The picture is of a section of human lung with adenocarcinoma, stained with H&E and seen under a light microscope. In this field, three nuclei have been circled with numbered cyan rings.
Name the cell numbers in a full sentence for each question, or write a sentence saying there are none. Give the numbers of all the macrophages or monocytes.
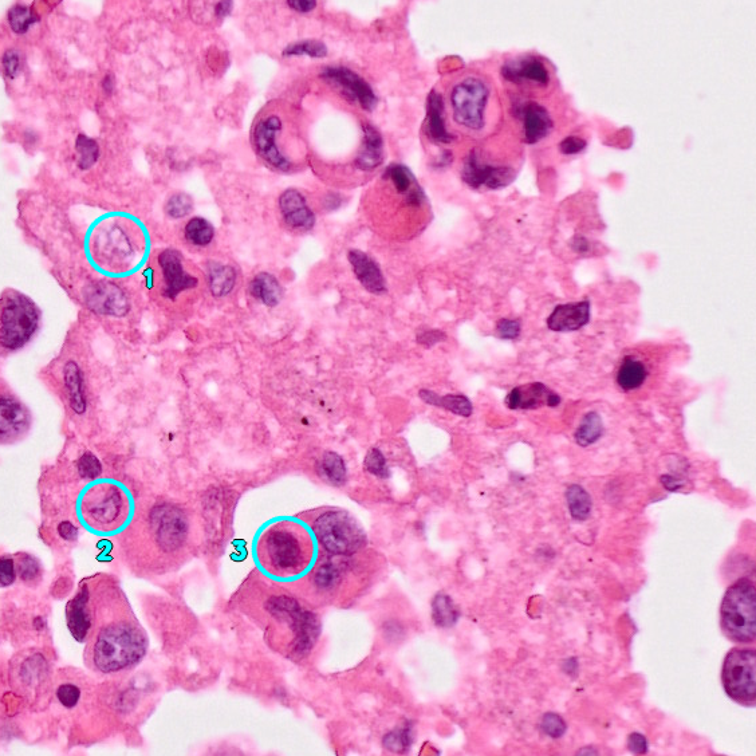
The cells numbered 1 and 2 are typed as macrophages or monocytes.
